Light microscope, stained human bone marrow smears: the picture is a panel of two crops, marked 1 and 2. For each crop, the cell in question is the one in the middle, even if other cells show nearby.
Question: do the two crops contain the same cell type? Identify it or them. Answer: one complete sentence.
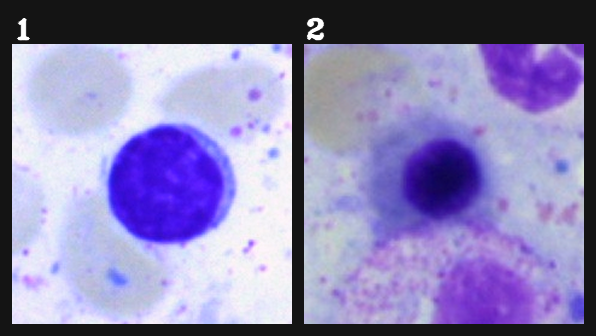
No, a lymphocyte is what occupies crop 1, and an erythroblast is what occupies crop 2.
